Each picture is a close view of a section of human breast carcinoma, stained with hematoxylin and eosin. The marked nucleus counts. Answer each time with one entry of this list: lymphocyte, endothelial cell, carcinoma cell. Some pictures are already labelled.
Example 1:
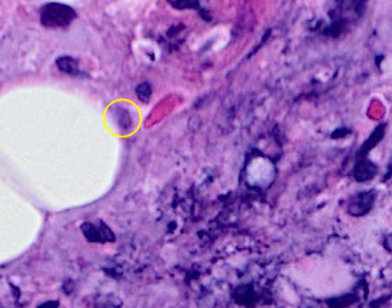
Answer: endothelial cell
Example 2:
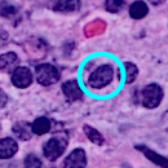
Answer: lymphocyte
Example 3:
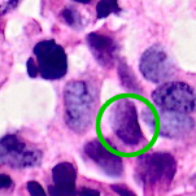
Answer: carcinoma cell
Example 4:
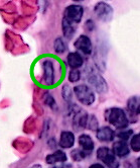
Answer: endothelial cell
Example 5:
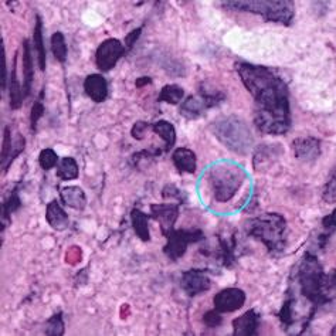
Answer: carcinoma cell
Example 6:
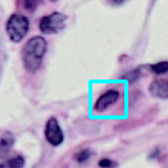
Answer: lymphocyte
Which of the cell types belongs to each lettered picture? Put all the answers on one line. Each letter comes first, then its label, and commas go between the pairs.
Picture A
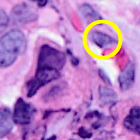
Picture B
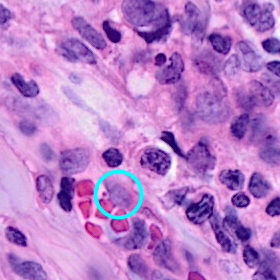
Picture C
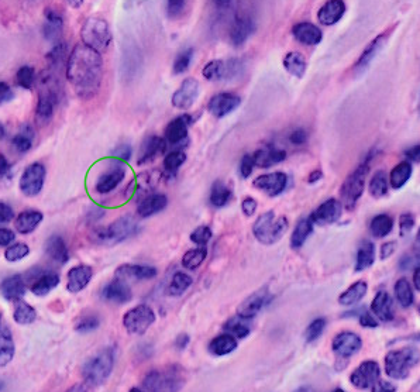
A endothelial cell, B endothelial cell, C lymphocyte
